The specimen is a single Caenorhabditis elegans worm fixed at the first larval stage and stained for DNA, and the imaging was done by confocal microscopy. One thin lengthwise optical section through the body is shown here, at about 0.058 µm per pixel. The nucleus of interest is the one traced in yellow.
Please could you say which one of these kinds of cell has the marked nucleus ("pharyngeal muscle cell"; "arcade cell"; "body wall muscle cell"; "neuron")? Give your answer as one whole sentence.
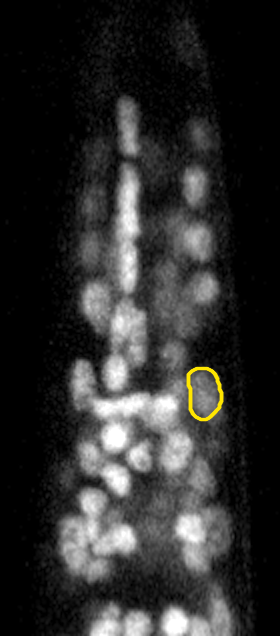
The marked cell is a body wall muscle cell.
